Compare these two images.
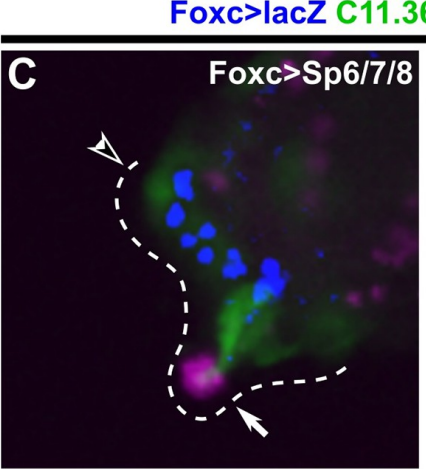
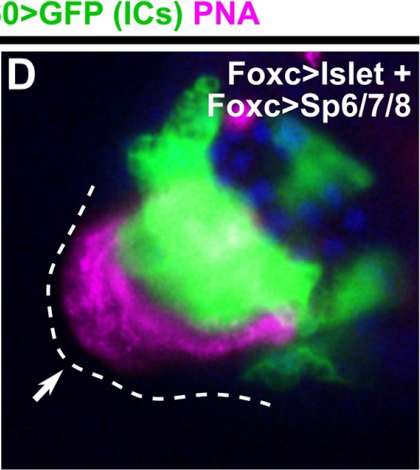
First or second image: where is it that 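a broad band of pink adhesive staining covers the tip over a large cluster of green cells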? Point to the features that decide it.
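First image: only a small pink spot at one tip, with sparse faint green cells. Second image: a wide pink crescent caps a large bright green cell cluster.
Hence: the second image.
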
